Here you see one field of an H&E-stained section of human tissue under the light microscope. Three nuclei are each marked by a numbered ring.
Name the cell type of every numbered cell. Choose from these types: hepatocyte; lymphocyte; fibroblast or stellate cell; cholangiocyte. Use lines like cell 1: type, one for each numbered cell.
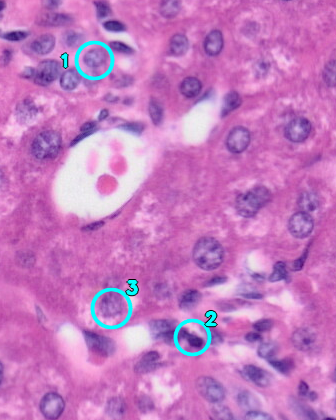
cell 1: cholangiocyte
cell 2: fibroblast or stellate cell
cell 3: hepatocyte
